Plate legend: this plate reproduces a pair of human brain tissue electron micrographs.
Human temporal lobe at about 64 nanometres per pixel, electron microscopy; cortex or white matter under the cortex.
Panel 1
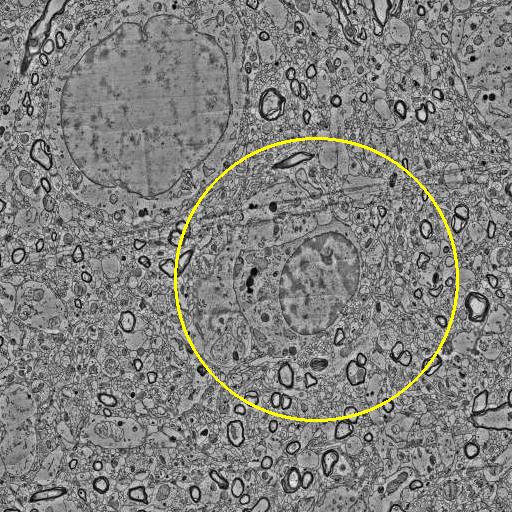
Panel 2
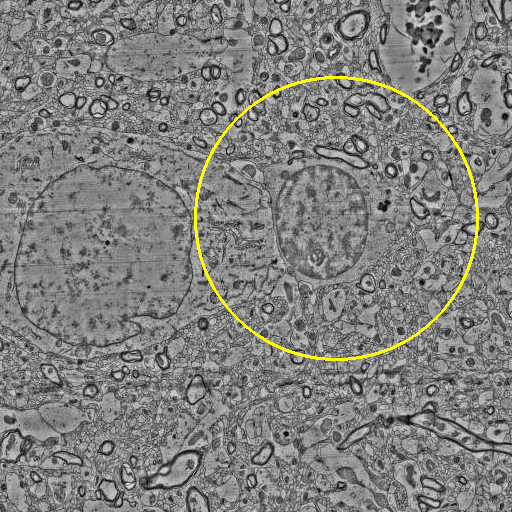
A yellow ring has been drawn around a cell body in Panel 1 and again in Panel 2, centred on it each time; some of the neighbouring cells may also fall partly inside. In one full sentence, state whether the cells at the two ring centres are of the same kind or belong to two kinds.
The ring-centred cells of Panel 1 and Panel 2 are of the same kind.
